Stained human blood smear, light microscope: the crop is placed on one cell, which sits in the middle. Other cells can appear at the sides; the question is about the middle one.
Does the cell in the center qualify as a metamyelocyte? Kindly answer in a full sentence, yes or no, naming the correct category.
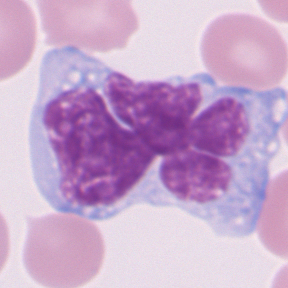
No, the middle one is a monocyte rather than a metamyelocyte.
